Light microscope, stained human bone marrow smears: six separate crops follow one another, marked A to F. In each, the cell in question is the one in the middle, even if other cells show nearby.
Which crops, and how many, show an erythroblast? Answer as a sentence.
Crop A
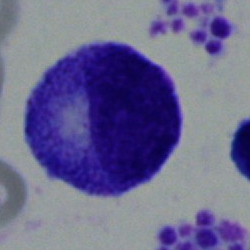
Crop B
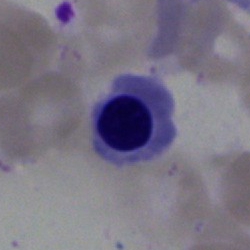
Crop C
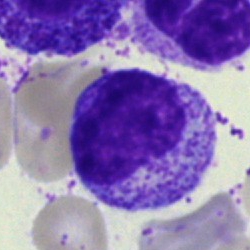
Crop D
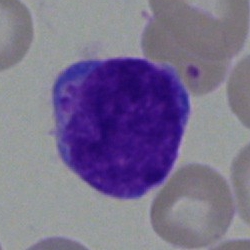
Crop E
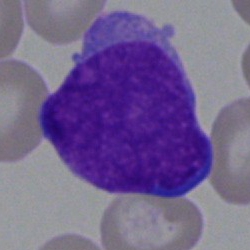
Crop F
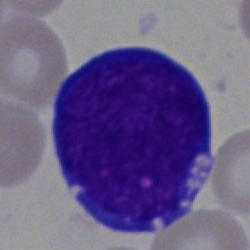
One crop shows an erythroblast, and that crop is crop B.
